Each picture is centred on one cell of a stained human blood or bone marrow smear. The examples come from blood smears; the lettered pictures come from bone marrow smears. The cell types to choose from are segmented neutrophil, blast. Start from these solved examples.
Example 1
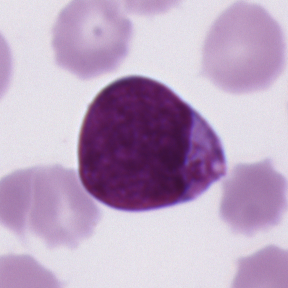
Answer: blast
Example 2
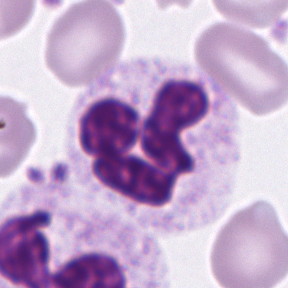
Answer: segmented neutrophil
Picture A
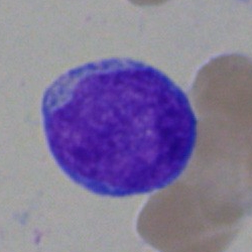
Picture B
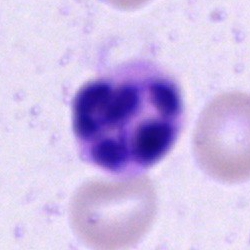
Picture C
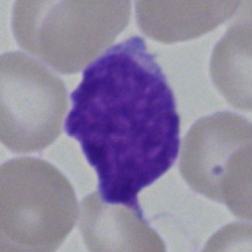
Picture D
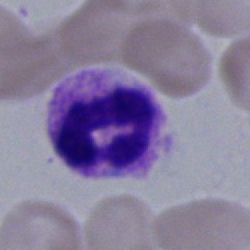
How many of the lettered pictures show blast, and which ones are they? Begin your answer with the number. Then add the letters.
2: A, C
